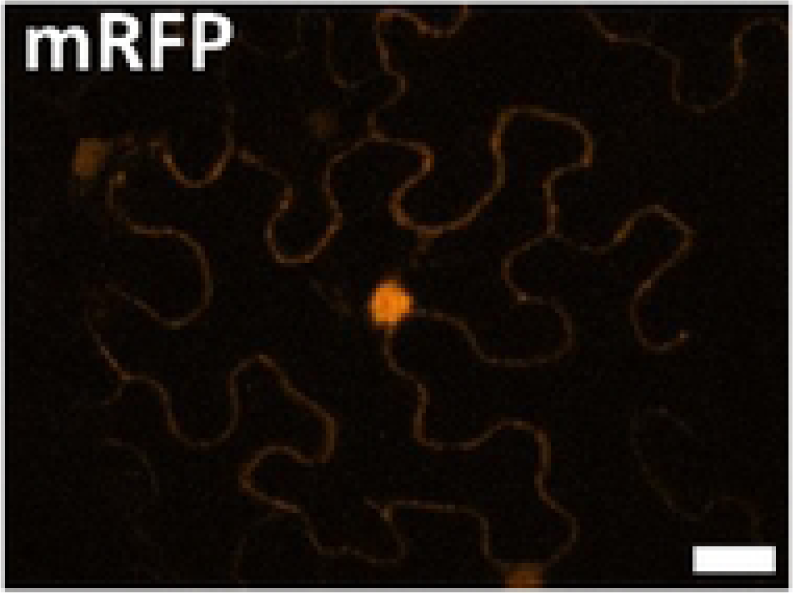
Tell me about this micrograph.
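Leaf epidermis cells with strongly lobed, interdigitating outlines, fitting together like puzzle pieces in one layer. Orange fluorescence fills only a thin band of cytoplasm lining each cell's wall, so the cell interiors, occupied by the vacuole, appear dark and the tissue looks like a network of wavy lines. A few bright, roughly round bodies sit at the cell margins, the most intense near the centre of the field; these are nuclei, lying in the peripheral cytoplasm and taking up the fluorescence more strongly than the surrounding rim. The picture is typical of pavement cells of a leaf epidermis.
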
